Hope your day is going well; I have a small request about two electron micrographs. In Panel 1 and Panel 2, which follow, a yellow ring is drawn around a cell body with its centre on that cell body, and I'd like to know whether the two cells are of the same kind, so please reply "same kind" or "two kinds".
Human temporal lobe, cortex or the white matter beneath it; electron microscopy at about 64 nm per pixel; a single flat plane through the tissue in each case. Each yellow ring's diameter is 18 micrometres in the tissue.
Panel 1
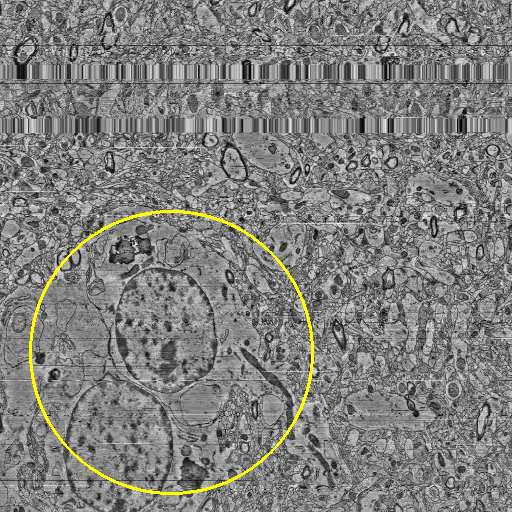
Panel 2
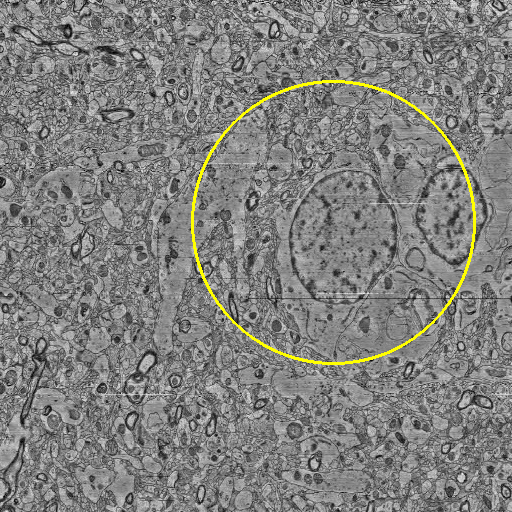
same kind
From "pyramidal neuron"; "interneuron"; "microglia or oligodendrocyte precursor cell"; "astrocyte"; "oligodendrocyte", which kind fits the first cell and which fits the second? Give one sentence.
The ring centre holds an astrocyte in each of the two pictures.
